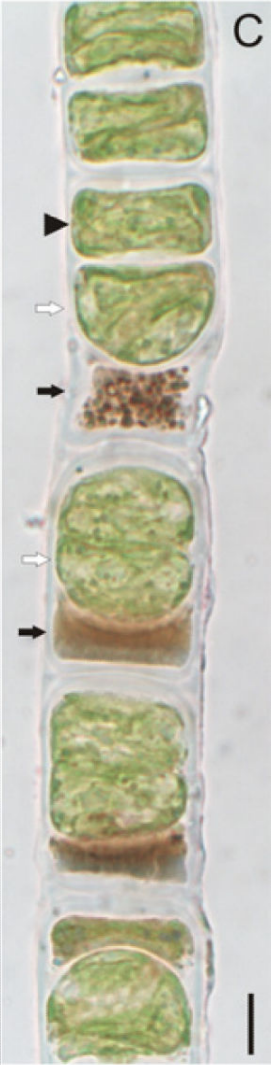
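A filament of cells in a thick transparent wall, containing green, rounded to box-like bodies with streaky chloroplast contents. Between and beside these green bodies lie brown residues, one made of many dark brown granules, another a smooth brown patch.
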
